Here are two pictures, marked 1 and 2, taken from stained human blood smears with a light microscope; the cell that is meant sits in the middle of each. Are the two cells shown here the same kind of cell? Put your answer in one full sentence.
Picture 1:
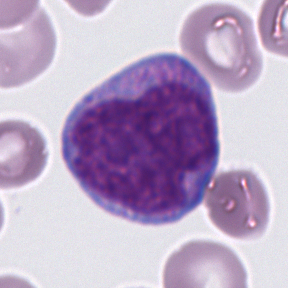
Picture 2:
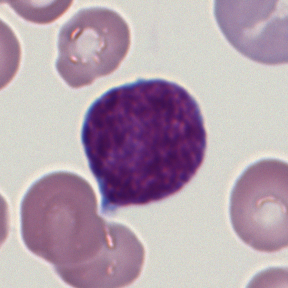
No, they differ: the cell is an atypical promyelocyte in picture 1 and a myeloblast in picture 2.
